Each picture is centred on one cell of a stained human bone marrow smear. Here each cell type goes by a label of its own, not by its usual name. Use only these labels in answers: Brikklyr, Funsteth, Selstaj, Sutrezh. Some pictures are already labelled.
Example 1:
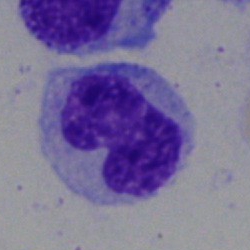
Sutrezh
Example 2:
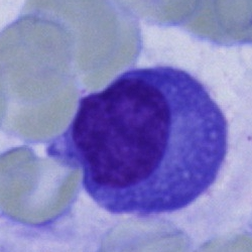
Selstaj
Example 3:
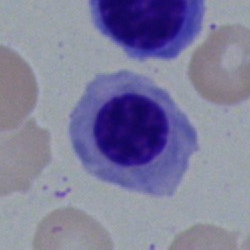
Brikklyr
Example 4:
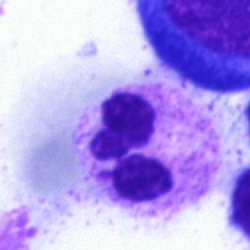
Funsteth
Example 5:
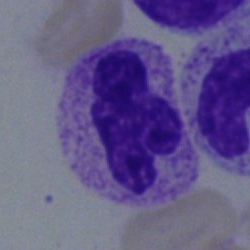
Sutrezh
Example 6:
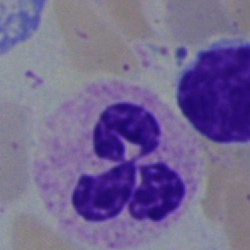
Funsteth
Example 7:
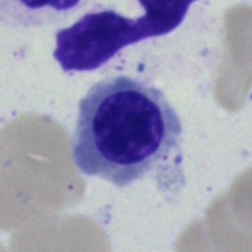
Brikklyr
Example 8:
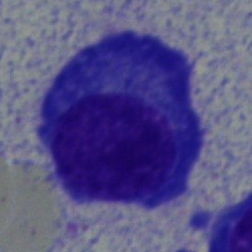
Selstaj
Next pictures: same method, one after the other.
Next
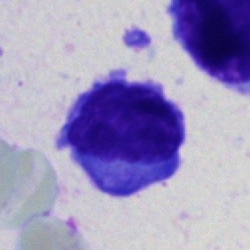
Selstaj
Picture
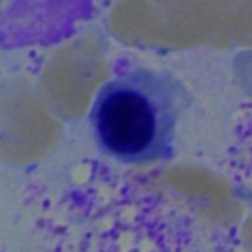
Brikklyr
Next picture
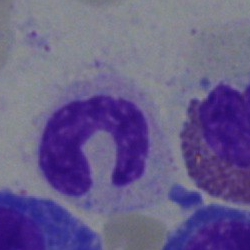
Sutrezh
